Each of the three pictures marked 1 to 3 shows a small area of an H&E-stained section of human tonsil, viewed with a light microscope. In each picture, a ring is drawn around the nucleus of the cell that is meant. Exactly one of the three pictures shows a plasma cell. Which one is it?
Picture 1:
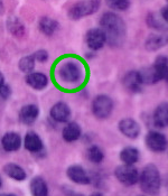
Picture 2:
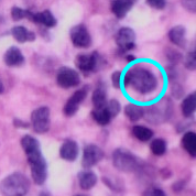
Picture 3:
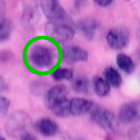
1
